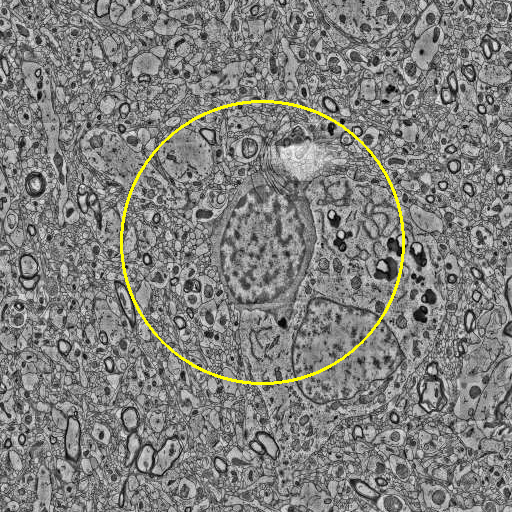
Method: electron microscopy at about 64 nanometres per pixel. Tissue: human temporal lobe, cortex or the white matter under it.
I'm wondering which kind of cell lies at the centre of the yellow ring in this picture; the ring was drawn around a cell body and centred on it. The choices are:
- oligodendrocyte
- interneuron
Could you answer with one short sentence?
At the centre of the ring lies an oligodendrocyte.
